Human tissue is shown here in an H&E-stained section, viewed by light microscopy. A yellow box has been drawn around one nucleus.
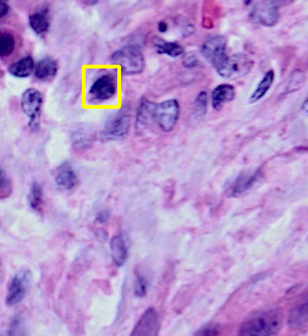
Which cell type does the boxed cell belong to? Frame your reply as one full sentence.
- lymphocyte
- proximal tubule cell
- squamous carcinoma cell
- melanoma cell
In the stained section, the boxed cell is a lymphocyte.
